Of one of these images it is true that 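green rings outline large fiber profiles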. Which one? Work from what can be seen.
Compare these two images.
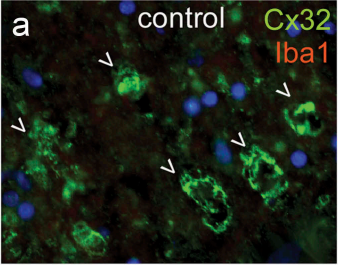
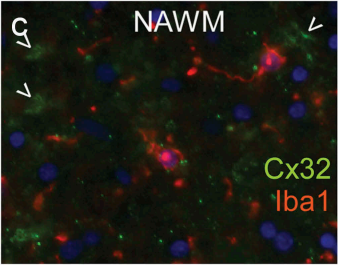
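Second image: green is faint and patchy, with only faint outlines. First image: several large profiles are ringed by bright green.
Hence: the first image.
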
